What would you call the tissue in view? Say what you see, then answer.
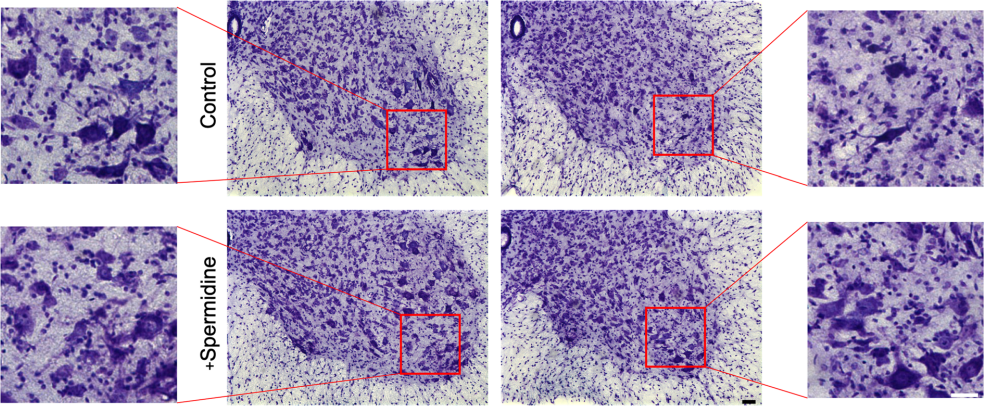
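Ventral horn of spinal cord. A wedge-shaped region of densely stained grey matter is bordered by paler white matter. Large multipolar cell bodies with darkly stained cytoplasm lie scattered in the grey matter.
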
